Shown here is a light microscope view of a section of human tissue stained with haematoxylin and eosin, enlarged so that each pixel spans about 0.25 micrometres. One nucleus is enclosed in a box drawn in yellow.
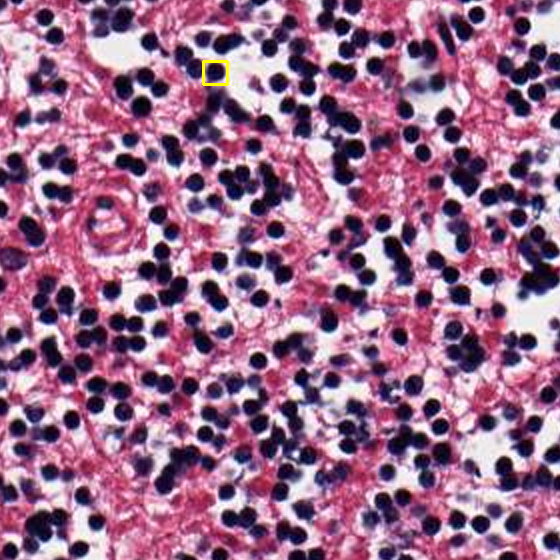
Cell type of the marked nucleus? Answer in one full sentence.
In this image, the nucleus that is marked belongs to a cerebellar granule cell.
